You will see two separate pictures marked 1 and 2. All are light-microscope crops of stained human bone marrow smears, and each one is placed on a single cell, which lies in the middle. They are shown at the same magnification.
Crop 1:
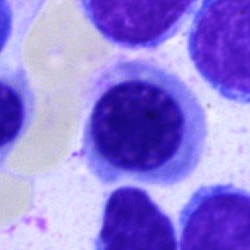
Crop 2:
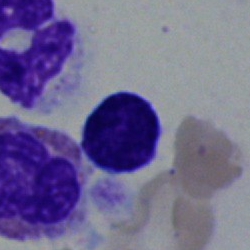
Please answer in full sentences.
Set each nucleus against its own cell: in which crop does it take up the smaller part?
Of the two, the nucleus in crop 1 leaves more room for cytoplasm.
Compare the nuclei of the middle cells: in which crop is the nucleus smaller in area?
It is the nucleus in crop 2; the one in crop 1 has about 1.5 times its area.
